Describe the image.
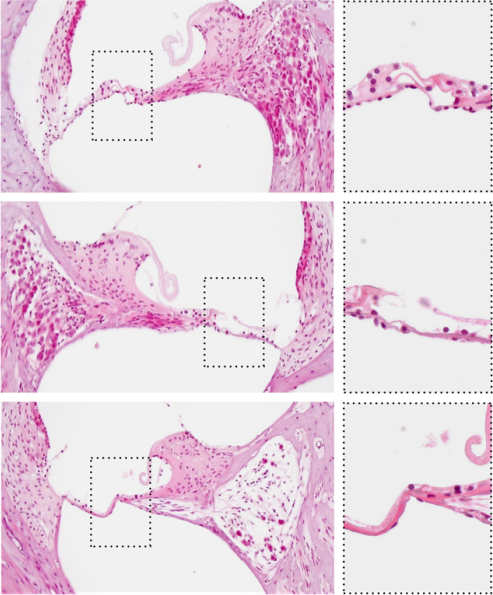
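Pink-stained sections through three cochlear turns show the bony canal with round cell bodies with dark nuclei in the upper turns, but in the lowest turn the canal is largely empty, with only scattered cell bodies among pale fibres. In the enlarged views, the cellular cluster on the basilar membrane is low and flattened, most markedly in the lowest turn. This is the cochlea with its ganglion region and Organ of Corti.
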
